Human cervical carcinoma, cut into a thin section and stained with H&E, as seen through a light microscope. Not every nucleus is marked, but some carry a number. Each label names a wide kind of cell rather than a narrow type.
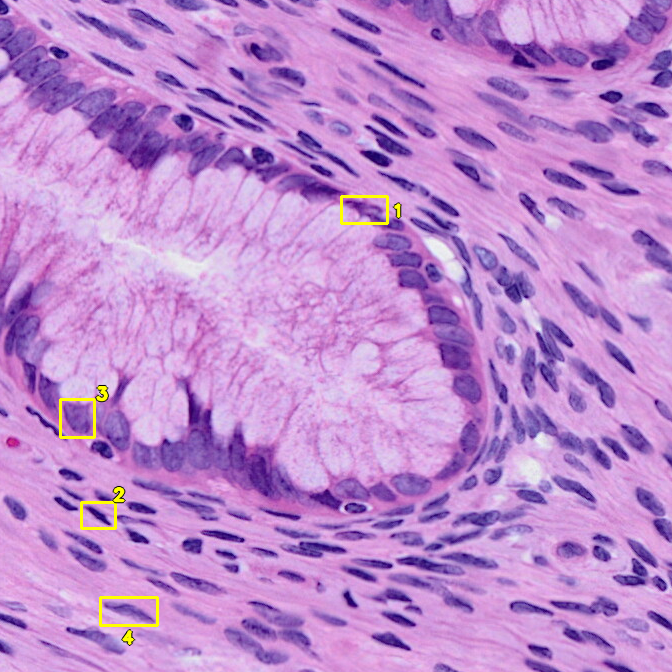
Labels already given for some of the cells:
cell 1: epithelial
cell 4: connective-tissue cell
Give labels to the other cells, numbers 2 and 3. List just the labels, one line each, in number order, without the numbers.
connective-tissue cell
epithelial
